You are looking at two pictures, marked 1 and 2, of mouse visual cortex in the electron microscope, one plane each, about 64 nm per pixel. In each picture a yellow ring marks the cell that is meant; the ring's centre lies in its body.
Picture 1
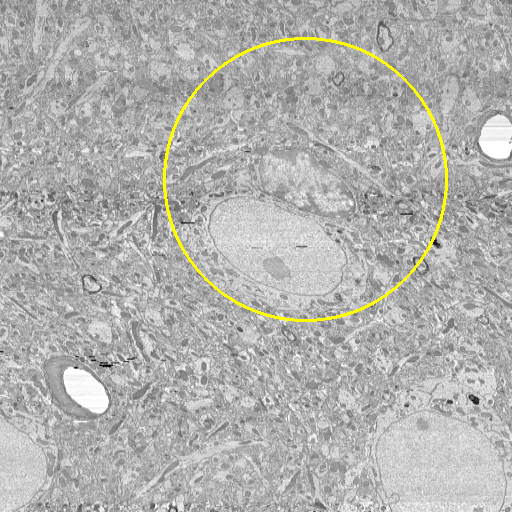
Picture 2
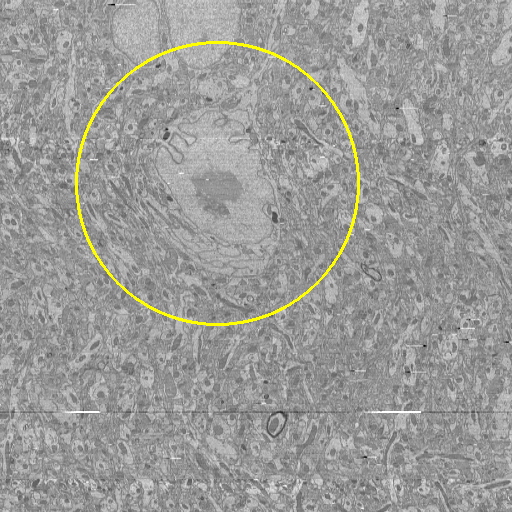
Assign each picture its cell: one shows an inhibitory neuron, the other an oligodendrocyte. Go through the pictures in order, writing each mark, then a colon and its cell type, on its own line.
1: oligodendrocyte
2: inhibitory neuron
